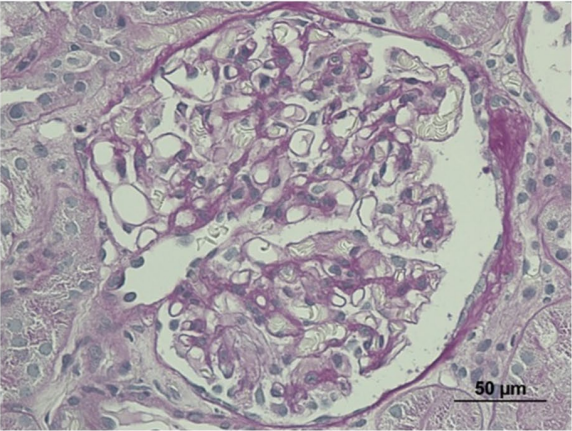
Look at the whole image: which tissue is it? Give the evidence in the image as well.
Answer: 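A round tuft of capillary loops lies inside a capsule with a clear space around it. The capillary loops are open with thin magenta-outlined walls. The mesangial areas between loops are not widened.
Answer: Normal glomerulus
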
